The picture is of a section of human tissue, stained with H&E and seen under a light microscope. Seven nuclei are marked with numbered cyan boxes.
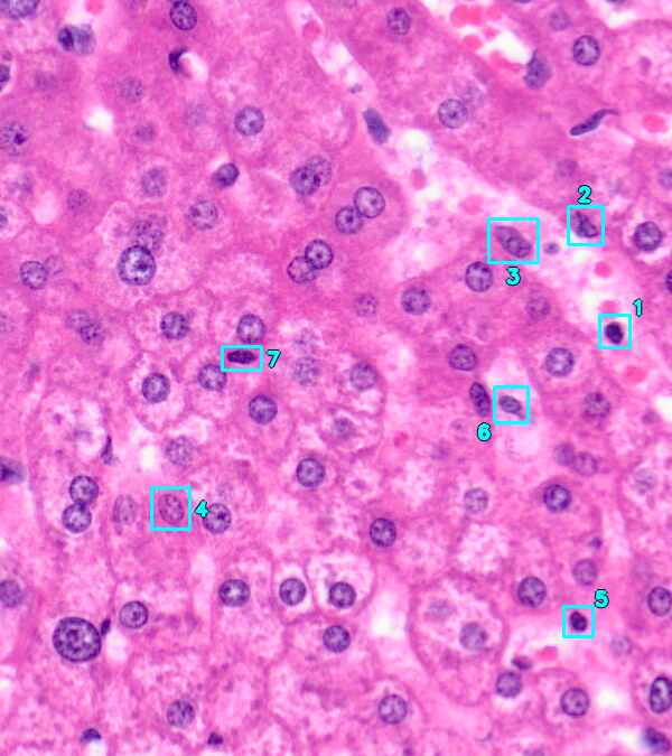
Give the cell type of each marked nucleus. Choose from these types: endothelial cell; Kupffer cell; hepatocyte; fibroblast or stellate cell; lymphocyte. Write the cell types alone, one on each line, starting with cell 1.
lymphocyte
endothelial cell
Kupffer cell
hepatocyte
lymphocyte
lymphocyte
fibroblast or stellate cell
